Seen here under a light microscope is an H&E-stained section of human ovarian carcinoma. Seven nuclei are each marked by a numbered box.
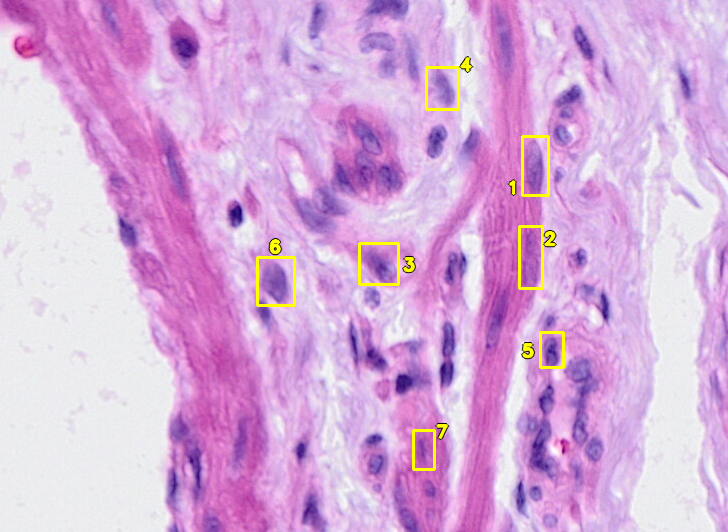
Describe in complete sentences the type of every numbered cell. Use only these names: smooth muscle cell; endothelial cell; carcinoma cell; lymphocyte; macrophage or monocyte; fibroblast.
Cell 1 is a smooth muscle cell, cell 2 is a smooth muscle cell, cell 3 is an endothelial cell, cell 4 is a fibroblast, cell 5 is an endothelial cell, cell 6 is a fibroblast and cell 7 is a smooth muscle cell.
